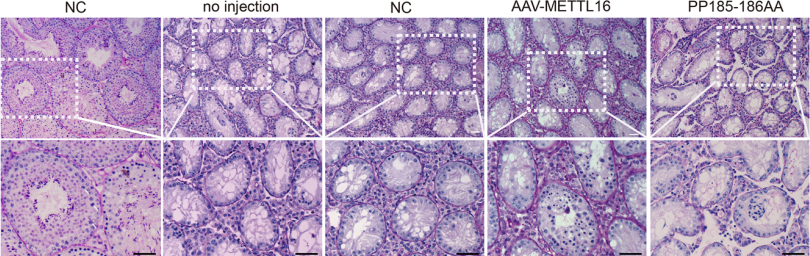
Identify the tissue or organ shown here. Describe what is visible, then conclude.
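Round tubular profiles cut in cross-section sit packed side by side. Small clusters of interstitial cells lie in the spaces between the tubules.
Answer: testes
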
